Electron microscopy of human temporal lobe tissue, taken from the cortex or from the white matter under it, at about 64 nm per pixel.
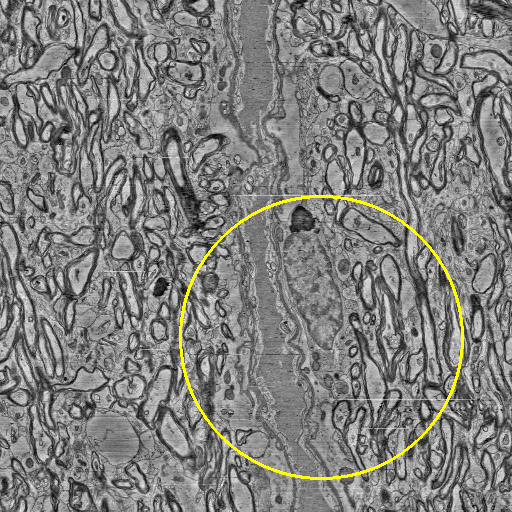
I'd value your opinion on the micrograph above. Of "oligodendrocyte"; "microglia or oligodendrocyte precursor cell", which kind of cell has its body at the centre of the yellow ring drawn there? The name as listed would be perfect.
oligodendrocyte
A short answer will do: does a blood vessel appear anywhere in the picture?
Yes, a vessel appears in the picture.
